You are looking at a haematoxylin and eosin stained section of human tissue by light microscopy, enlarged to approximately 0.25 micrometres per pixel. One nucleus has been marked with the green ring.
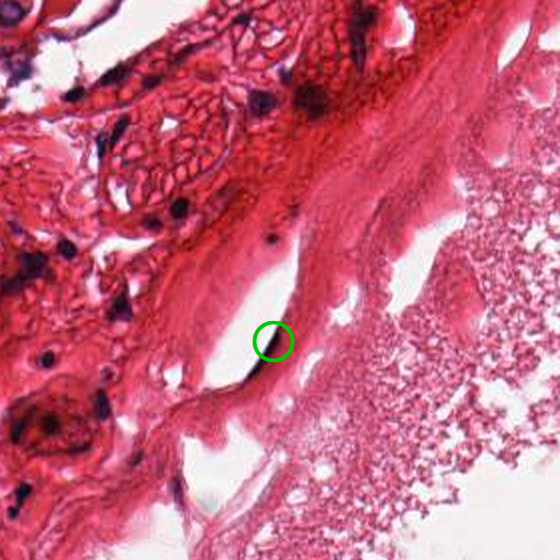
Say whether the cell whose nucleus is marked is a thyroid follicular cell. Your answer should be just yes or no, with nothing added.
no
